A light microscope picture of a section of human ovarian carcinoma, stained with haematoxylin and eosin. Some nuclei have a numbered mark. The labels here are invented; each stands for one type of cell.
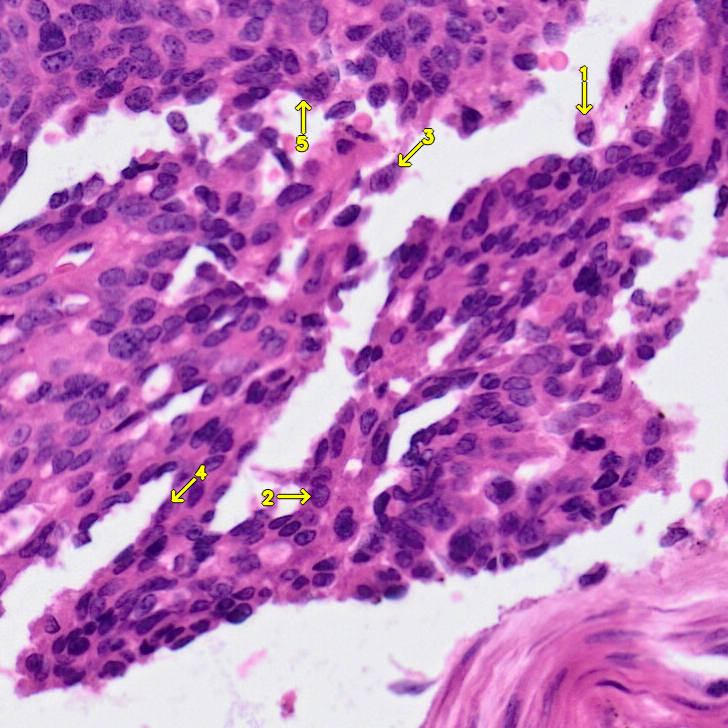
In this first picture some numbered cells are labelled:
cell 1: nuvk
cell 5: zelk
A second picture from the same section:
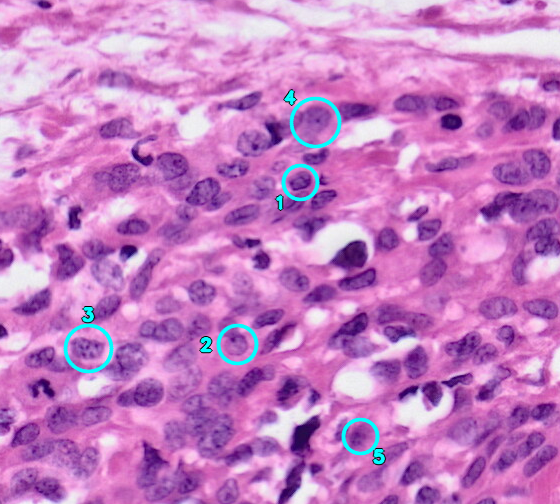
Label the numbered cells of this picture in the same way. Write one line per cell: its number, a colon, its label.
1: nuvk
2: nuvk
3: nuvk
4: zelk
5: zelk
